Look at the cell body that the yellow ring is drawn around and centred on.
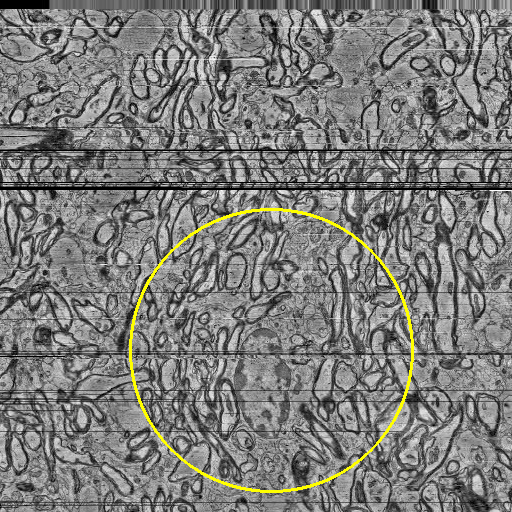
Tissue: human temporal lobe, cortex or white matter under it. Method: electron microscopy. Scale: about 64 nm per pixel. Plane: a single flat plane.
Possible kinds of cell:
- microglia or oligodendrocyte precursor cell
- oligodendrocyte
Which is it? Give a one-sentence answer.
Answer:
The centred cell body is that of a microglial cell or oligodendrocyte precursor cell.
